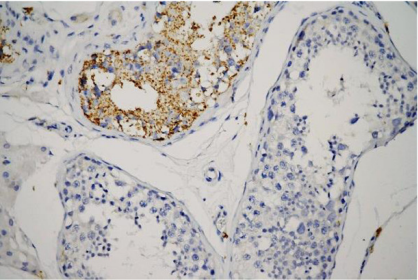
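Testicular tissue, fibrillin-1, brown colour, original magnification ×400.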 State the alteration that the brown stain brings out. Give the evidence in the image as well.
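Germ cell neoplasia in situ. One tubule is filled with large cells with clear cytoplasm and coarse brown granular stain. The stained tubule lacks the layered maturing germ cells seen in neighbouring tubules. Neighbouring tubules are unstained and hold many small dark nuclei.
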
